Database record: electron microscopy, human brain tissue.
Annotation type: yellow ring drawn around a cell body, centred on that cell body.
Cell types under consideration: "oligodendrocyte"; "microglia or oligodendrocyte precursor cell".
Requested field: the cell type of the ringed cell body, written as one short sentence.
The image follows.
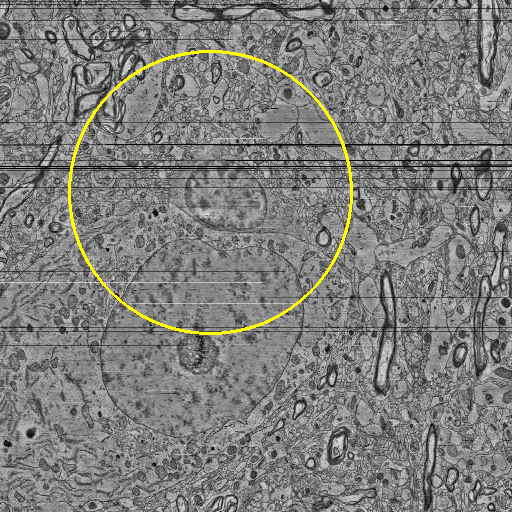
The ringed cell body represents an oligodendrocyte.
